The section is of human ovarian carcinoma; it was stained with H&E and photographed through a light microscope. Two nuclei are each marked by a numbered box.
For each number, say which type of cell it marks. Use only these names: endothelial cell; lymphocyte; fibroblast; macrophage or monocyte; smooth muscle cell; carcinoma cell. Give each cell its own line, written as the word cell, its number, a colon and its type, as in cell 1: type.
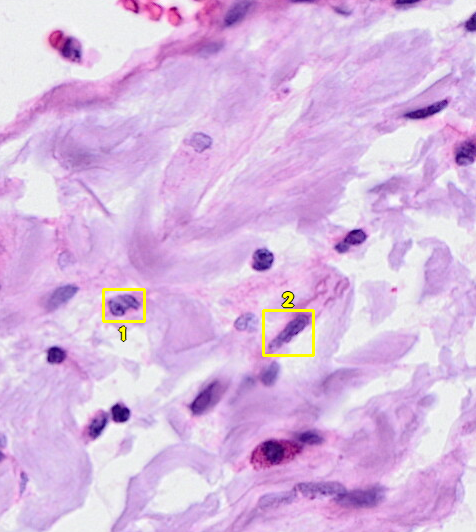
cell 1: macrophage or monocyte
cell 2: endothelial cell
